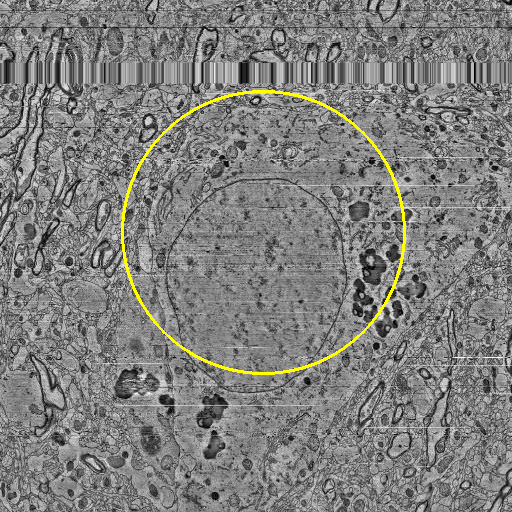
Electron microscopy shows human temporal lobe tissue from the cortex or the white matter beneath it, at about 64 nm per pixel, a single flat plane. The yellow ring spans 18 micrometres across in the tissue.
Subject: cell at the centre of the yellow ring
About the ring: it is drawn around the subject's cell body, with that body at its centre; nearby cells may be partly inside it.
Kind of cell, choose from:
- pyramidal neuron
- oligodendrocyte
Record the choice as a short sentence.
The subject cell is a pyramidal neuron.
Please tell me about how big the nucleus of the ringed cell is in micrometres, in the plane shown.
In this plane the nucleus measures roughly 14 by 12 micrometers.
